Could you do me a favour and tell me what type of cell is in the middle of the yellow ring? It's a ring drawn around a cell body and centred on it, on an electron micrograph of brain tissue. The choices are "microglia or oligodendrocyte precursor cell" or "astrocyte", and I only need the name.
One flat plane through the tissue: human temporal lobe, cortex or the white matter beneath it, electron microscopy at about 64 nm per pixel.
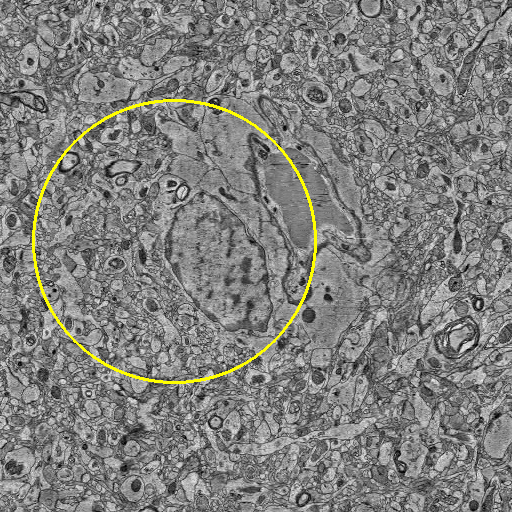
microglia or oligodendrocyte precursor cell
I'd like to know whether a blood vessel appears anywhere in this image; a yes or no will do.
Yes, a vessel appears in the picture.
